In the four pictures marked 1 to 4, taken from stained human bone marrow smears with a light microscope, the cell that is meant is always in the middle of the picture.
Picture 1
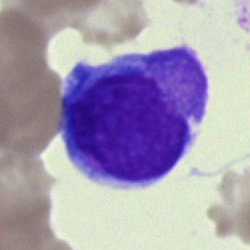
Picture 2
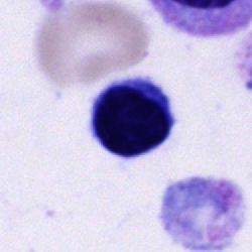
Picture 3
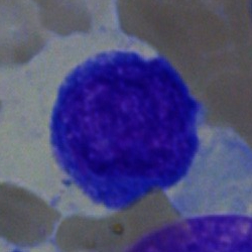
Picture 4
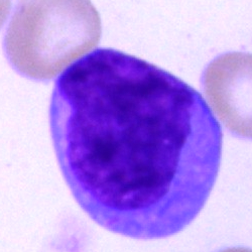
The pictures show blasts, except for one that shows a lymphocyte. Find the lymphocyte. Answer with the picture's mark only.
2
